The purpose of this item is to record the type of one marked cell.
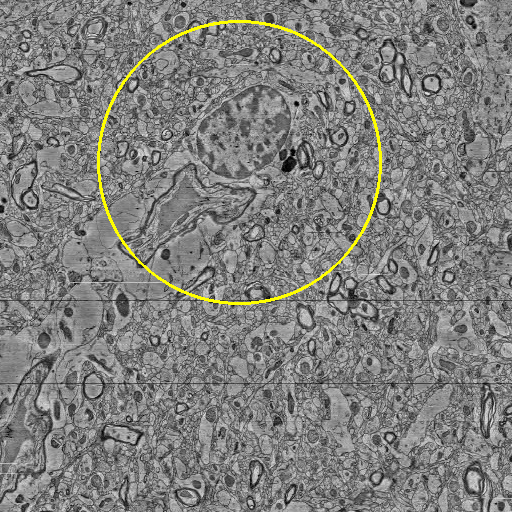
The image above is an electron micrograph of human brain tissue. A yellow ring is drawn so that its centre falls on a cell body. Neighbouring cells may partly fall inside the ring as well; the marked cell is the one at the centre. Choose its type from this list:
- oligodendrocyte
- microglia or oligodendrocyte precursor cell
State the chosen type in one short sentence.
What the ring marks here is a microglial cell or oligodendrocyte precursor cell.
